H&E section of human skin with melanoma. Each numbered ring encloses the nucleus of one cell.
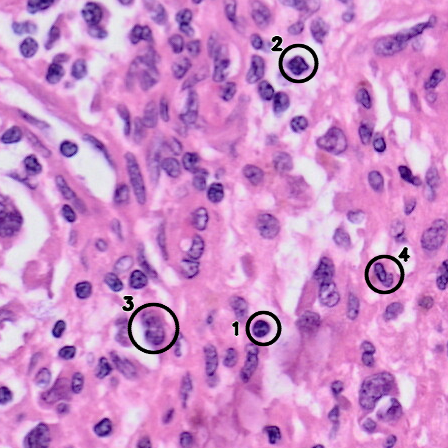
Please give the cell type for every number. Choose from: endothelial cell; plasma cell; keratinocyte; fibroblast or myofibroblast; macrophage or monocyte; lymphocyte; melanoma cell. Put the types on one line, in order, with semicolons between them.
lymphocyte; lymphocyte; melanoma cell; macrophage or monocyte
